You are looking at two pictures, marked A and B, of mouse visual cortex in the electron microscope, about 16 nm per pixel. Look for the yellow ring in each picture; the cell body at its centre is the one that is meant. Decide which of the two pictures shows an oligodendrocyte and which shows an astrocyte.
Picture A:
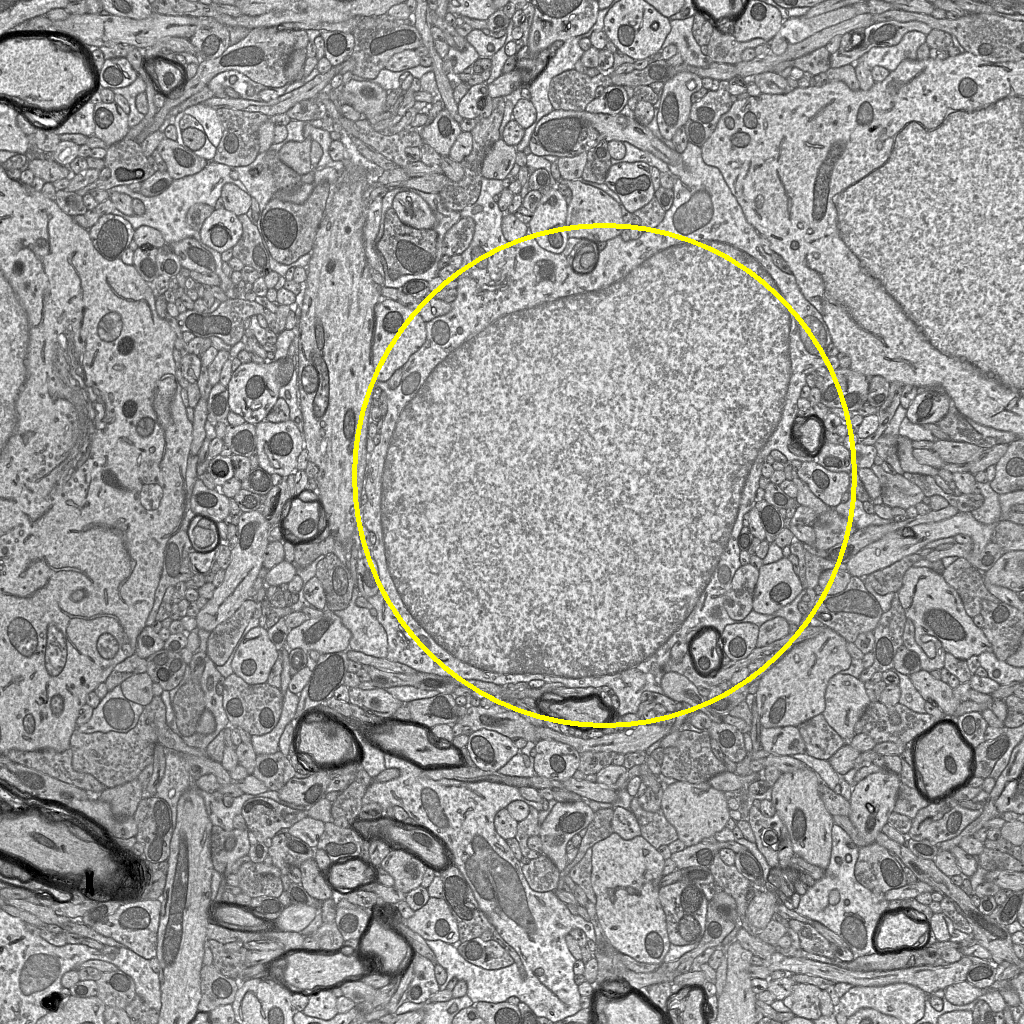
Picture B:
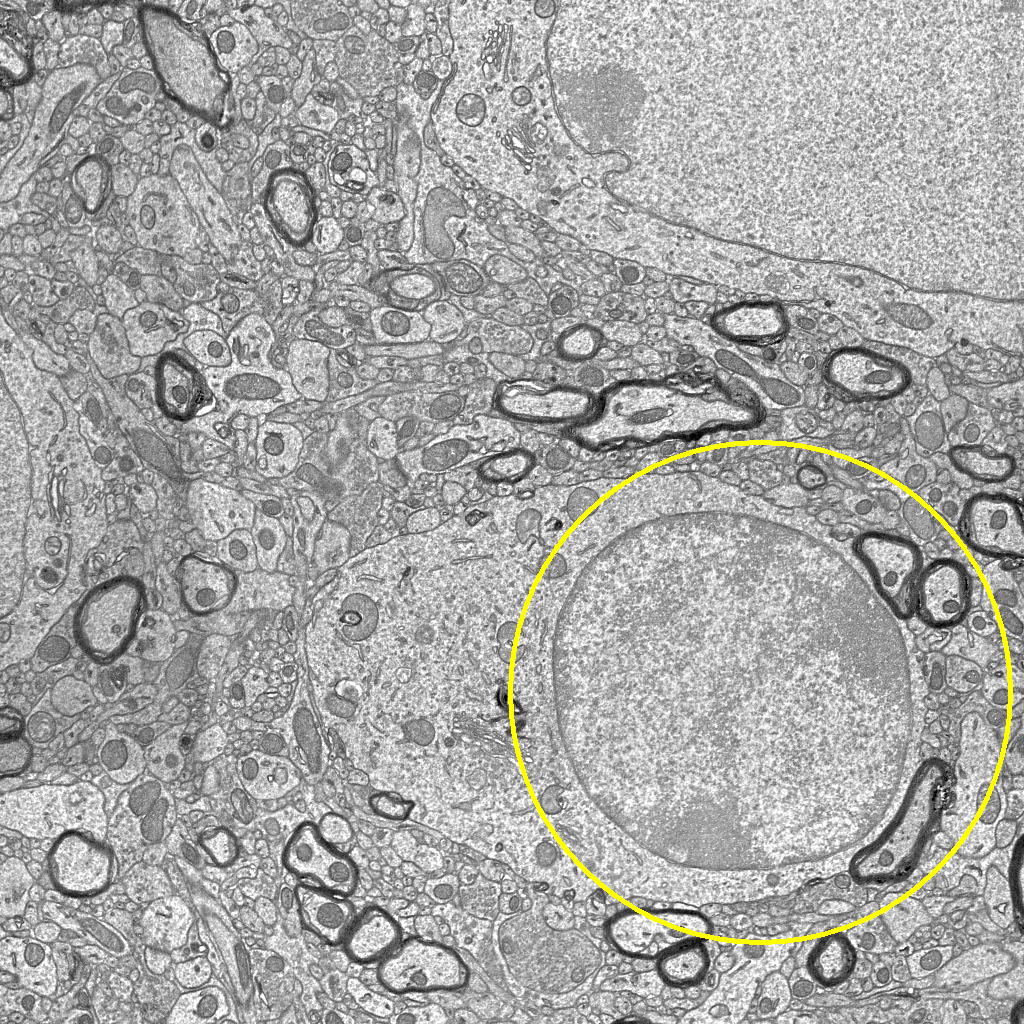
Picture B shows an oligodendrocyte, while picture A shows an astrocyte.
